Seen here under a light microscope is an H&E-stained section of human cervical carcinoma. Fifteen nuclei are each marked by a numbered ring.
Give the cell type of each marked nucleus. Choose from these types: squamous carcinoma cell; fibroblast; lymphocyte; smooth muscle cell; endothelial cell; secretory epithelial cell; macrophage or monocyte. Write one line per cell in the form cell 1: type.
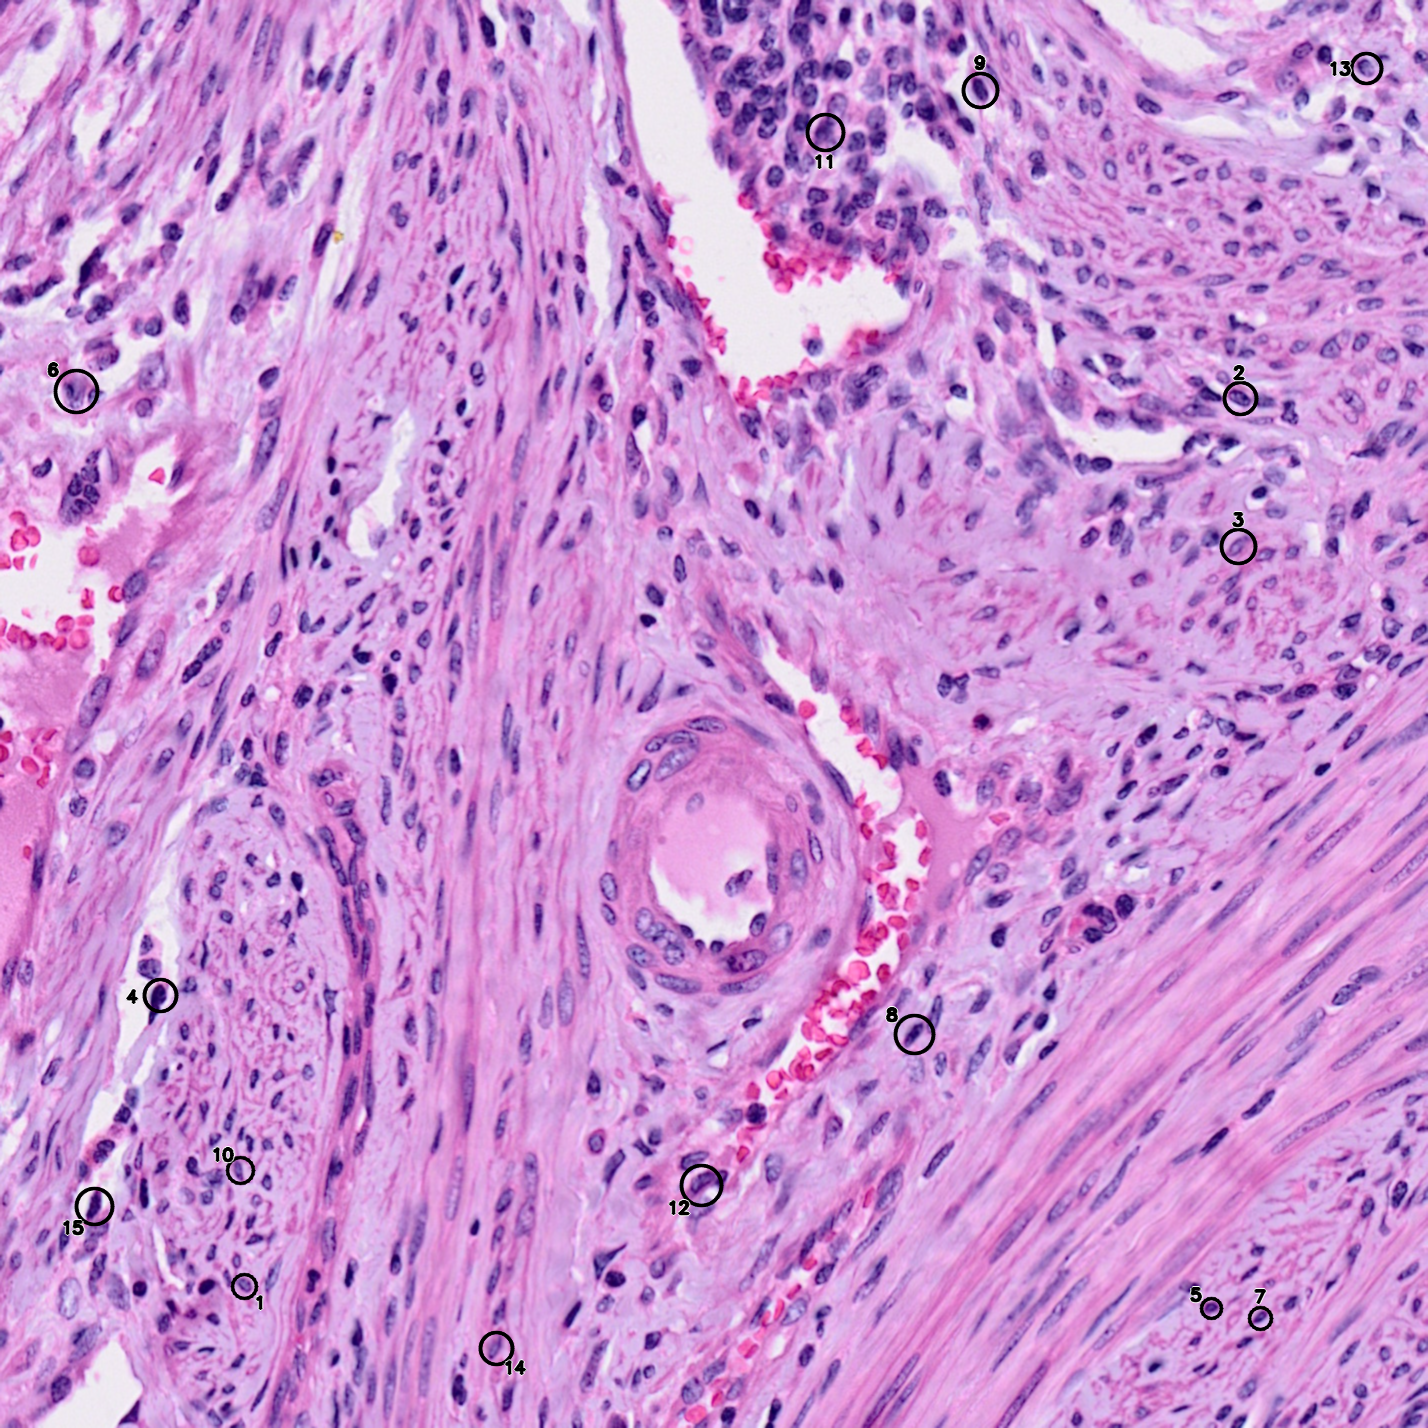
cell 1: smooth muscle cell
cell 2: lymphocyte
cell 3: smooth muscle cell
cell 4: lymphocyte
cell 5: smooth muscle cell
cell 6: macrophage or monocyte
cell 7: smooth muscle cell
cell 8: lymphocyte
cell 9: lymphocyte
cell 10: smooth muscle cell
cell 11: lymphocyte
cell 12: endothelial cell
cell 13: lymphocyte
cell 14: smooth muscle cell
cell 15: lymphocyte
